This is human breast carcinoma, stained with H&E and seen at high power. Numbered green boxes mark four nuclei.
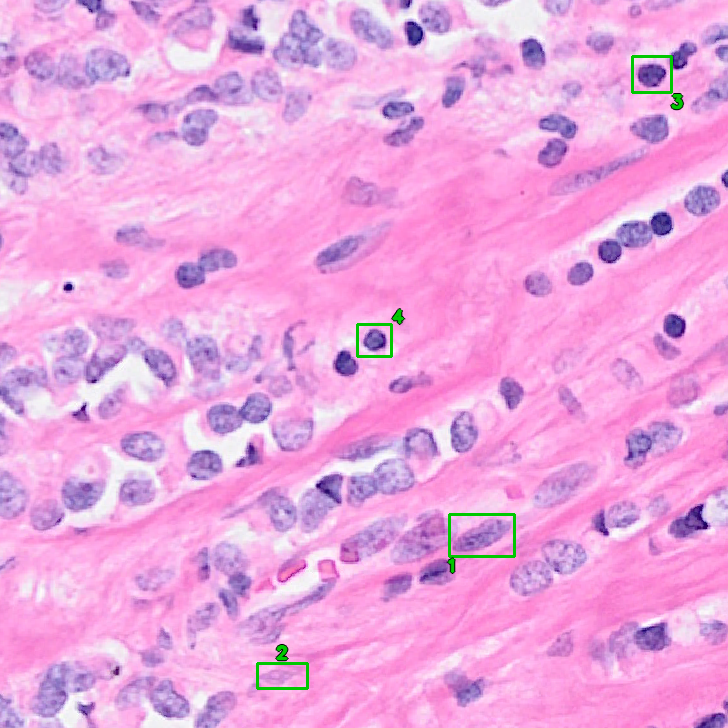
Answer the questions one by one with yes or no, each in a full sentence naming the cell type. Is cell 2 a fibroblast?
Yes, the cell that goes by number 2 is a fibroblast.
